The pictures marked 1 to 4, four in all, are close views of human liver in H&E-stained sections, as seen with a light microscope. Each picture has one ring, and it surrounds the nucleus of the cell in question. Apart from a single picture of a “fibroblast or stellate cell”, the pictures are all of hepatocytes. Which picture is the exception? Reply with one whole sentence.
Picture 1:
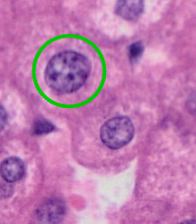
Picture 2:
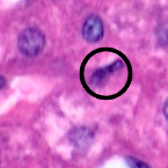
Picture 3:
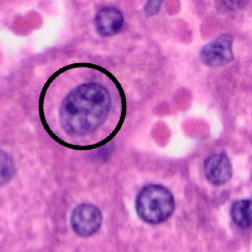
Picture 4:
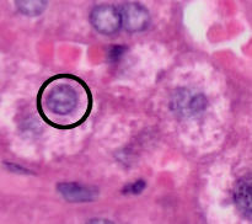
It is picture 2 that shows the “fibroblast or stellate cell”.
